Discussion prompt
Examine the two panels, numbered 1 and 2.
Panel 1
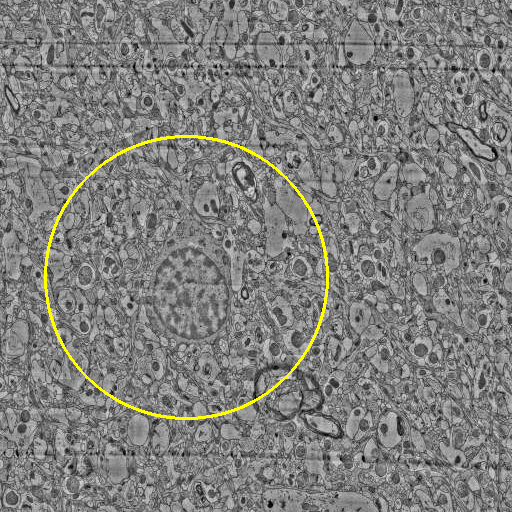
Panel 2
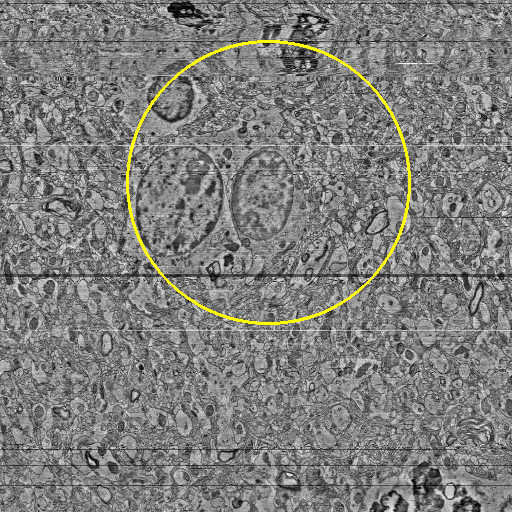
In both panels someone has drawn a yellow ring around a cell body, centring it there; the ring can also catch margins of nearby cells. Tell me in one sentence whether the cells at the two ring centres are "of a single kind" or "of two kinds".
Taken together, the two cells centred in the rings of Panels 1 and 2 are of a single kind.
